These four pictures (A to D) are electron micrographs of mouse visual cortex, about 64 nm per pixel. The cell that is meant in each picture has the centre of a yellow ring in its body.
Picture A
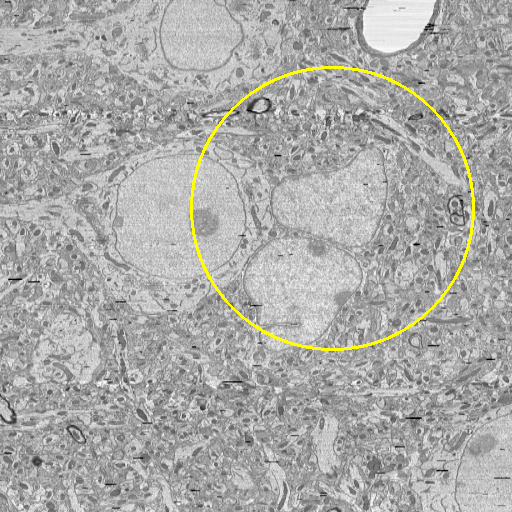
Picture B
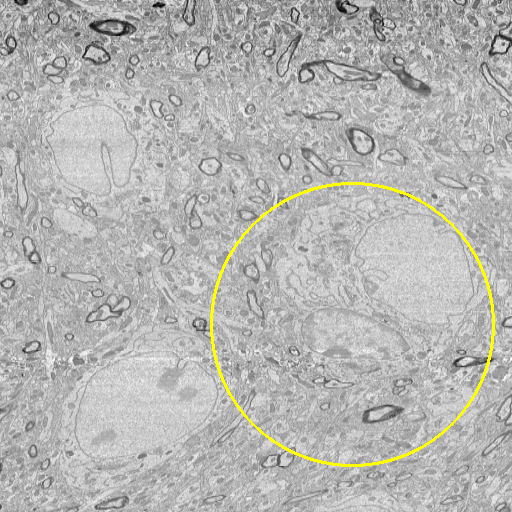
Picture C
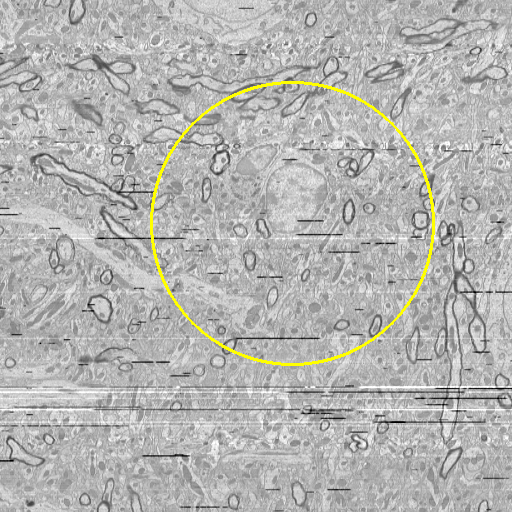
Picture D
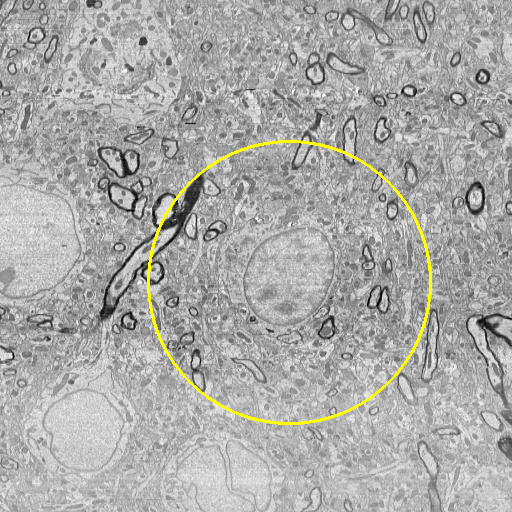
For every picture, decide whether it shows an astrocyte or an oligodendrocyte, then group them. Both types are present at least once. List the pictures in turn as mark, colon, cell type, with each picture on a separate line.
A: astrocyte
B: oligodendrocyte
C: oligodendrocyte
D: oligodendrocyte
